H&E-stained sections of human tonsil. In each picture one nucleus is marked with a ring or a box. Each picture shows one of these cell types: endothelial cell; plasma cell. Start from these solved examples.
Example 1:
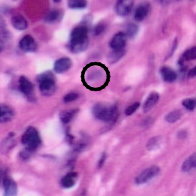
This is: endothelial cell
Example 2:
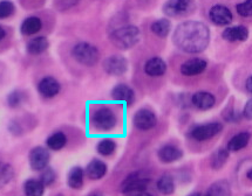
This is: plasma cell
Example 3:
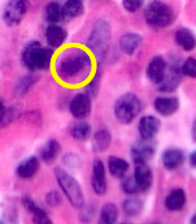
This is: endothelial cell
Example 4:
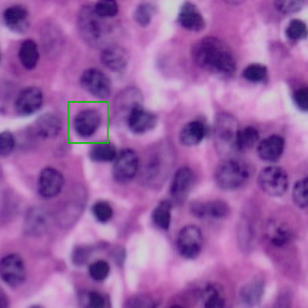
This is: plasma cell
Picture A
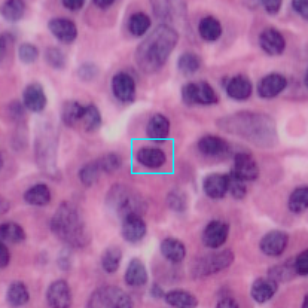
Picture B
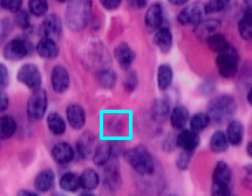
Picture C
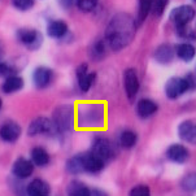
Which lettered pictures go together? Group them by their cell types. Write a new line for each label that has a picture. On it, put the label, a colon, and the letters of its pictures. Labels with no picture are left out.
endothelial cell: B, C
plasma cell: A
